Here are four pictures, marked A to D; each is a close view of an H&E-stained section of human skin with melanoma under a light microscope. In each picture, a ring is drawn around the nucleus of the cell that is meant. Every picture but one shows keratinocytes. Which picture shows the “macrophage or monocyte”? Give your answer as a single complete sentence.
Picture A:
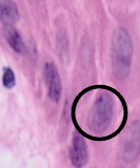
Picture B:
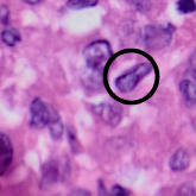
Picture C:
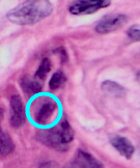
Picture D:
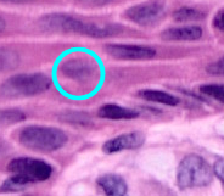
The cell in picture B is the “macrophage or monocyte”.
